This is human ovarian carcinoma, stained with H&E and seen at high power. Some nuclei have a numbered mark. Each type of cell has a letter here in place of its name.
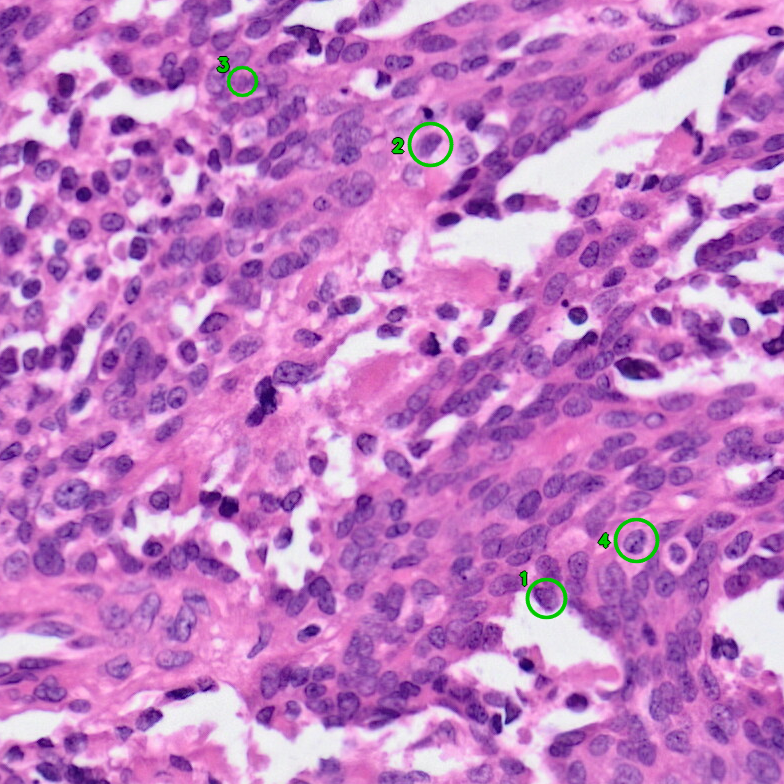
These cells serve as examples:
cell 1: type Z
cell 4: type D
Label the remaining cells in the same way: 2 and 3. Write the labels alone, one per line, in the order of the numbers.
type D
type Z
